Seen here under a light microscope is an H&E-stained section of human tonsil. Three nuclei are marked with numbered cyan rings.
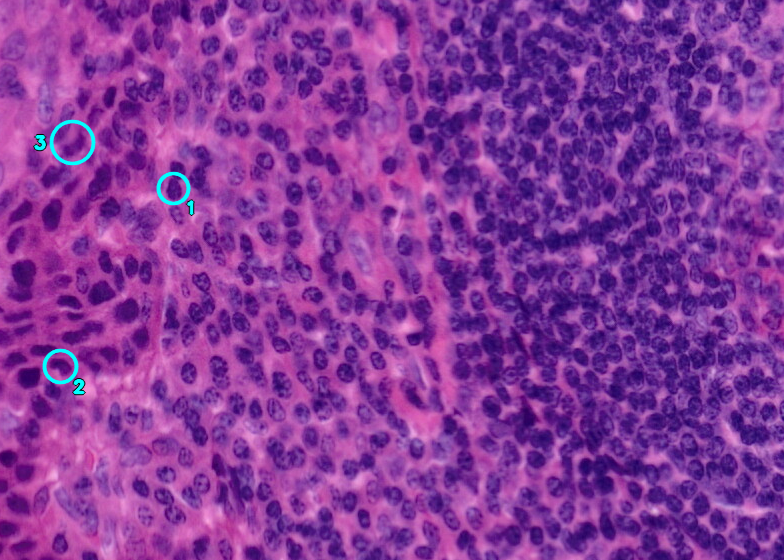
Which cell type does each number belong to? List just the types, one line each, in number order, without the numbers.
plasma cell
squamous epithelial cell
squamous epithelial cell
